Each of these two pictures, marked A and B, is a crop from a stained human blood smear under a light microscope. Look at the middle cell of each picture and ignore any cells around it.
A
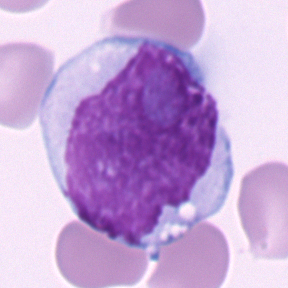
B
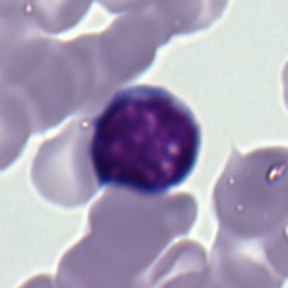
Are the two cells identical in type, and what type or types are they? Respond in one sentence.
No, crop A contains a myeloblast, whereas crop B contains a typical lymphocyte.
